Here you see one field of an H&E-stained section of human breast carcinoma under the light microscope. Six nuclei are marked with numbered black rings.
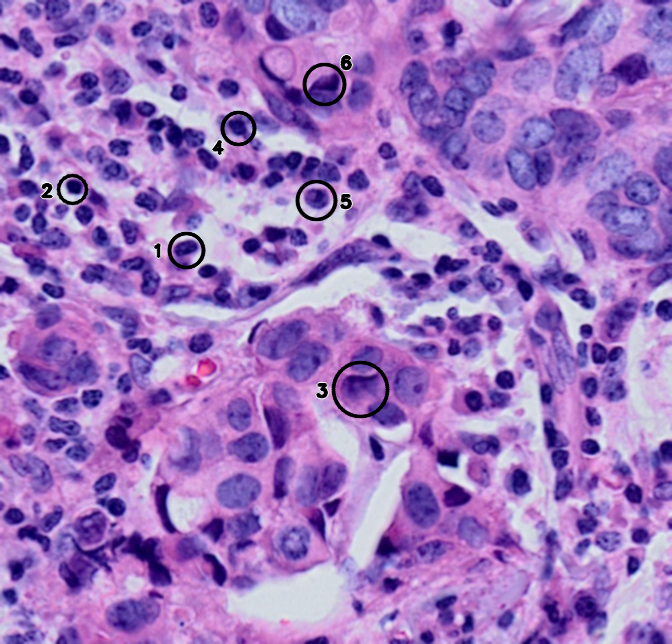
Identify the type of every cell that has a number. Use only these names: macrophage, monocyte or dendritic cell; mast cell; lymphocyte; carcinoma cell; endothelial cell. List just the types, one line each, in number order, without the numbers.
lymphocyte
lymphocyte
carcinoma cell
lymphocyte
lymphocyte
carcinoma cell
